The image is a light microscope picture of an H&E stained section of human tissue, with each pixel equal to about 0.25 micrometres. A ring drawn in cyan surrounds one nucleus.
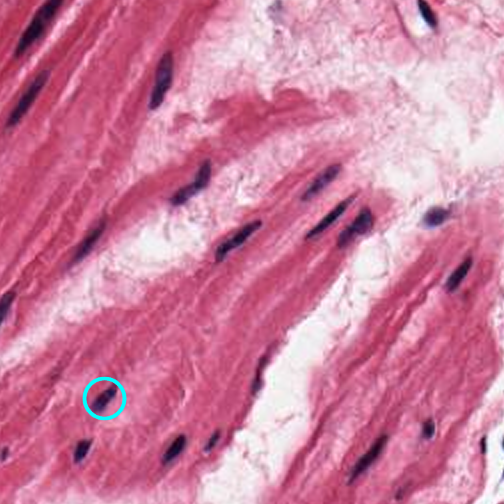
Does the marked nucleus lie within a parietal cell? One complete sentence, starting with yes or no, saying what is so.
No, the marked nucleus is not housed in a parietal cell.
